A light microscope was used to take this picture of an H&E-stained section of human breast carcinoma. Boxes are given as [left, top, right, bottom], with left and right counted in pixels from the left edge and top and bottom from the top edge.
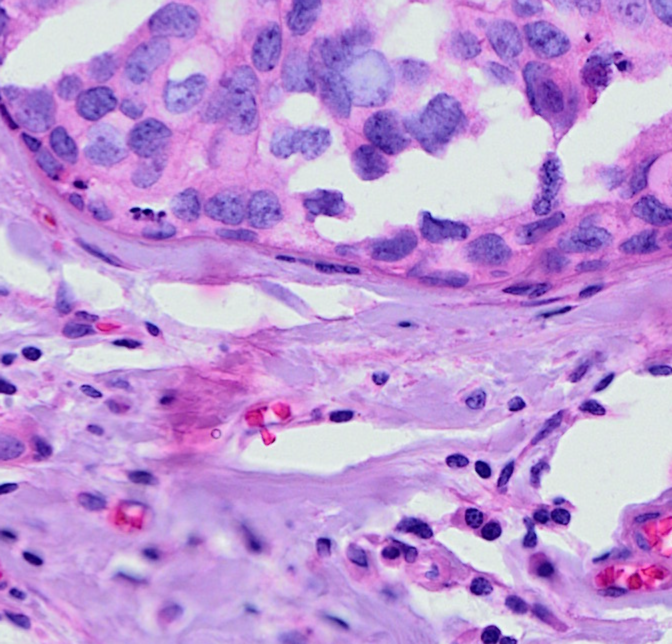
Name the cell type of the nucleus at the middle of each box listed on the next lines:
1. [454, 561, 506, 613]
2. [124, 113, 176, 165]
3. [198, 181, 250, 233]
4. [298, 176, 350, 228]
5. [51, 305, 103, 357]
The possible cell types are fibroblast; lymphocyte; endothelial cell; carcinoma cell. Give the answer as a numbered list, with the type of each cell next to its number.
1. lymphocyte
2. carcinoma cell
3. carcinoma cell
4. carcinoma cell
5. endothelial cell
